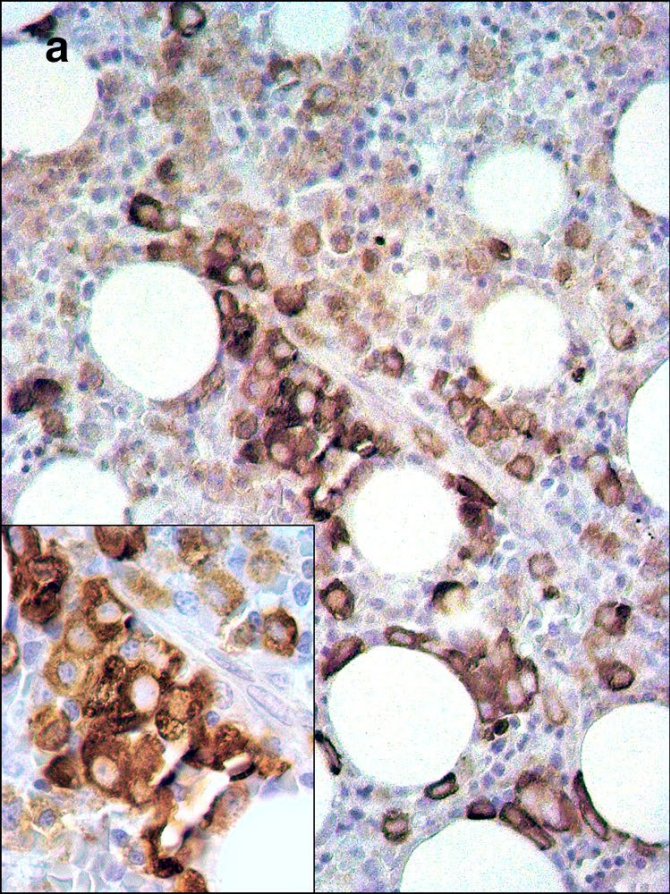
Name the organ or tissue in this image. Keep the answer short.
bone marrow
